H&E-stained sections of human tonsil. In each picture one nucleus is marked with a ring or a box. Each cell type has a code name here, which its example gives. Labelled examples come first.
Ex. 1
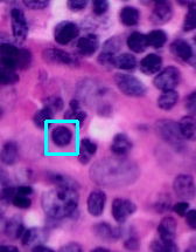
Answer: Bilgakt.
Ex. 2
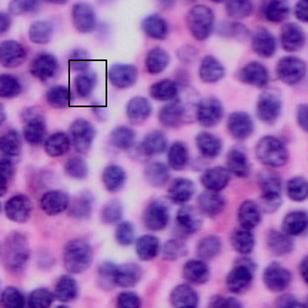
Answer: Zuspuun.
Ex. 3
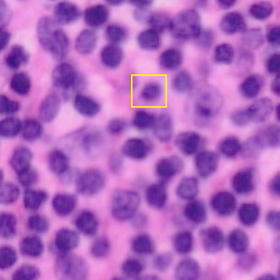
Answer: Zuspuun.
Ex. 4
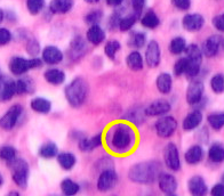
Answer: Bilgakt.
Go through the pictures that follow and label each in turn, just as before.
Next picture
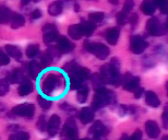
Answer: Zuspuun.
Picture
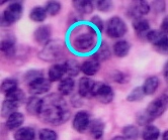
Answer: Zuspuun.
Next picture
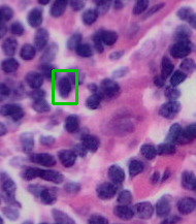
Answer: Zuspuun.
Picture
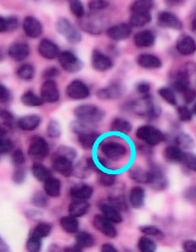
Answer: Zuspuun.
